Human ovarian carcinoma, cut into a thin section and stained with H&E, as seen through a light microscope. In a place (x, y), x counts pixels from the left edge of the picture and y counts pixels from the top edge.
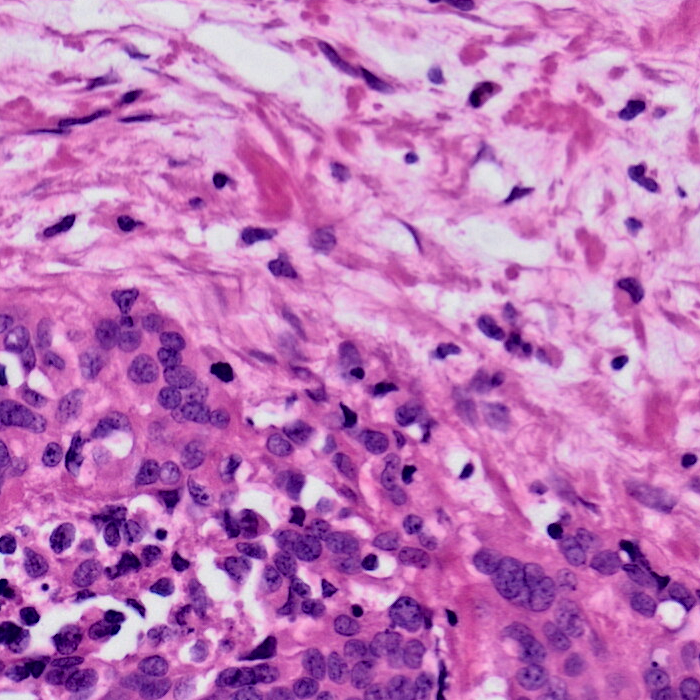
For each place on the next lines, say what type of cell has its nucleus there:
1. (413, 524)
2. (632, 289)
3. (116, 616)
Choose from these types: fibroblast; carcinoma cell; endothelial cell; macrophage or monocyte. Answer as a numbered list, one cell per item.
1. macrophage or monocyte
2. macrophage or monocyte
3. carcinoma cell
